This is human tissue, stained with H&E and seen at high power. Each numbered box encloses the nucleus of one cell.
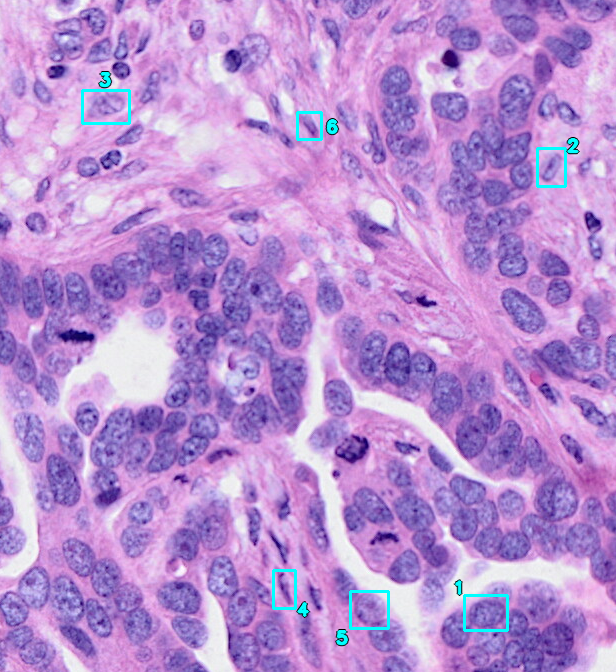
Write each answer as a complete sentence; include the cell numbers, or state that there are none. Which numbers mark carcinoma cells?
In this section, the cells numbered 1 and 5 are carcinoma cells.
